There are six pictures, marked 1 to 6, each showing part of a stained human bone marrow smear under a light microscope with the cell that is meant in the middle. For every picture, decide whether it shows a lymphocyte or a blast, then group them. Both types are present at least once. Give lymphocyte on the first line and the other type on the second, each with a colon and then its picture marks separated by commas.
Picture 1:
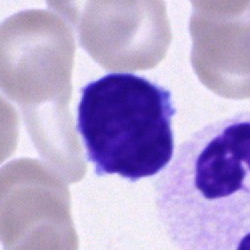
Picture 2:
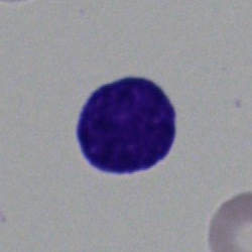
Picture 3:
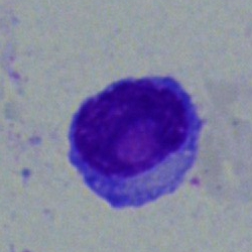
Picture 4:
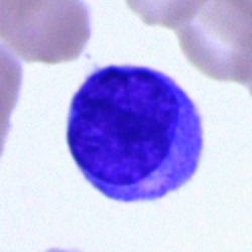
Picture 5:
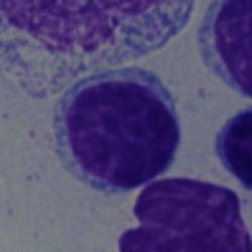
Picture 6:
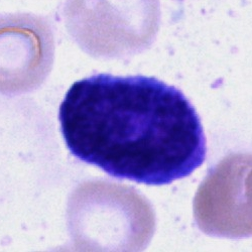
lymphocyte: 1, 3, 5
blast: 2, 4, 6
